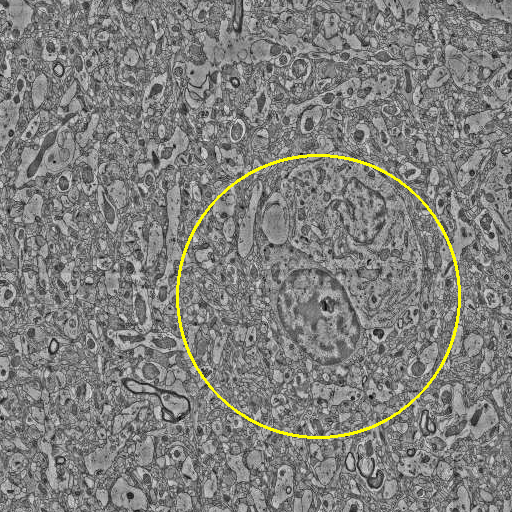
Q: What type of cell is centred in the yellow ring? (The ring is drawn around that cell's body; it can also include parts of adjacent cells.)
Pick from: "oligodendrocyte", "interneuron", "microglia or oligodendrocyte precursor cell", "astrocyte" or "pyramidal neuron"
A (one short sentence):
The yellow ring is centred on an oligodendrocyte.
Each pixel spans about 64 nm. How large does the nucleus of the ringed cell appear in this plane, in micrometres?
In this plane, the nucleus is roughly 6 by 5 micrometres.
